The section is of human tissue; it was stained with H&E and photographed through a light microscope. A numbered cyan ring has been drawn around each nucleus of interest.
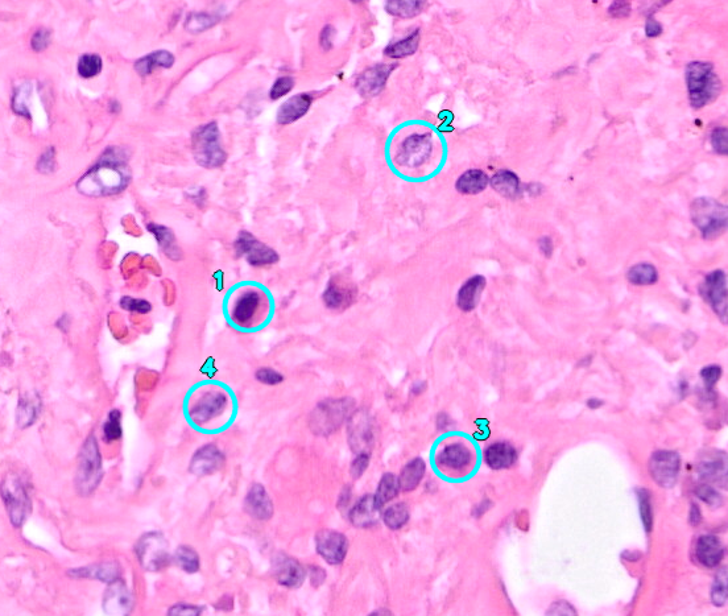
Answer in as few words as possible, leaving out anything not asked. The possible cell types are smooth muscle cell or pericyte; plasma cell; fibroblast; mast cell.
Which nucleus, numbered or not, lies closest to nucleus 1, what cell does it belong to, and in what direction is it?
a fibroblast; above nucleus 1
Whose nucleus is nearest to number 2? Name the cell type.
mast cell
